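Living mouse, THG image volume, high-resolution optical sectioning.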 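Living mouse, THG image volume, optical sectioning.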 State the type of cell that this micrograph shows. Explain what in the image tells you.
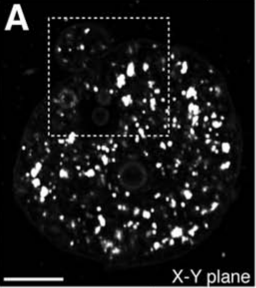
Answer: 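One large round cell with a thin outer membrane. A small round body attached at the top edge. So: zygote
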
